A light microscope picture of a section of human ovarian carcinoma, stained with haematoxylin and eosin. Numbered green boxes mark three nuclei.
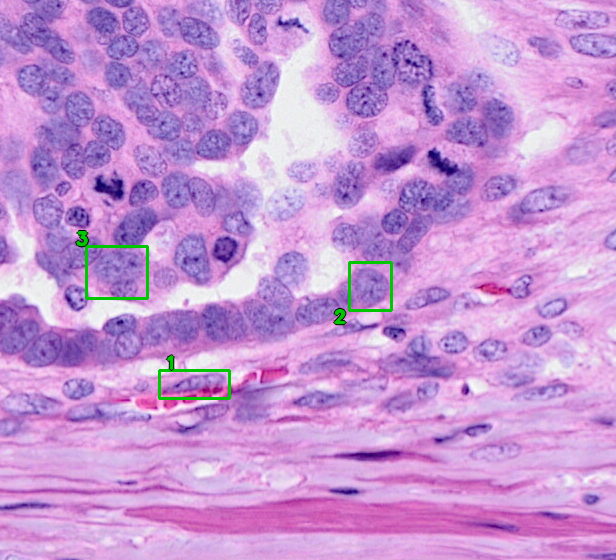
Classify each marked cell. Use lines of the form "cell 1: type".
cell 1: endothelial cell
cell 2: carcinoma cell
cell 3: carcinoma cell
